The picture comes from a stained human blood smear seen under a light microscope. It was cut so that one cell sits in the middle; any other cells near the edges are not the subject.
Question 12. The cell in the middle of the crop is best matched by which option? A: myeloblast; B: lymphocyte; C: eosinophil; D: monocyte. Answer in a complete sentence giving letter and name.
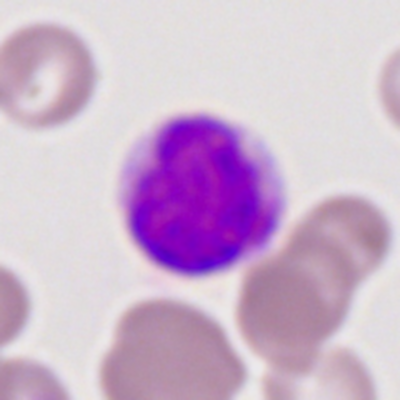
Option B is the right one, for the cell in the middle is a lymphocyte.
